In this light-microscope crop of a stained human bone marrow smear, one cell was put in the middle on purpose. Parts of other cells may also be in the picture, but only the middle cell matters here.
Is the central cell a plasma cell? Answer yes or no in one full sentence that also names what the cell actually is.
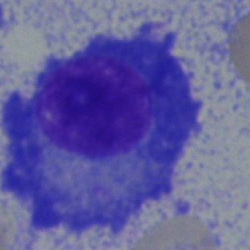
Yes, the cell that is in the middle is a plasma cell.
